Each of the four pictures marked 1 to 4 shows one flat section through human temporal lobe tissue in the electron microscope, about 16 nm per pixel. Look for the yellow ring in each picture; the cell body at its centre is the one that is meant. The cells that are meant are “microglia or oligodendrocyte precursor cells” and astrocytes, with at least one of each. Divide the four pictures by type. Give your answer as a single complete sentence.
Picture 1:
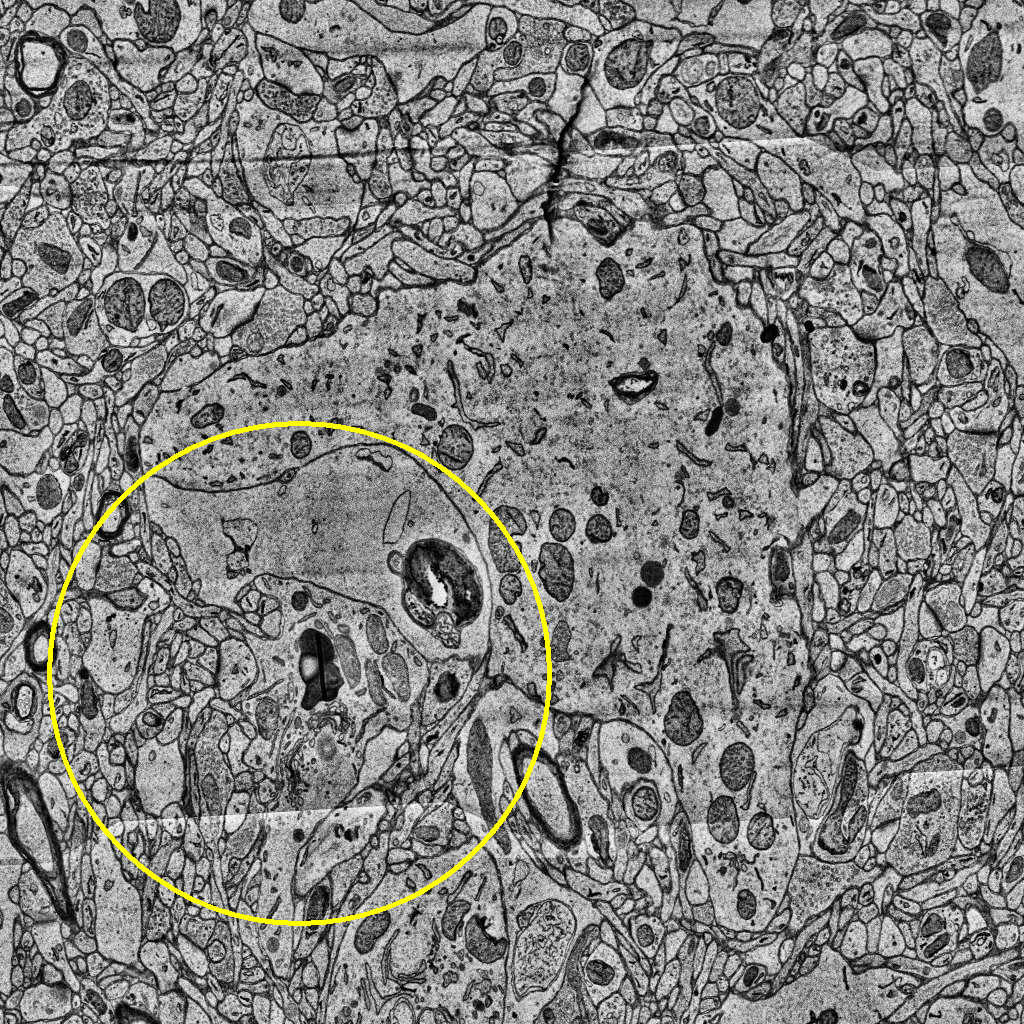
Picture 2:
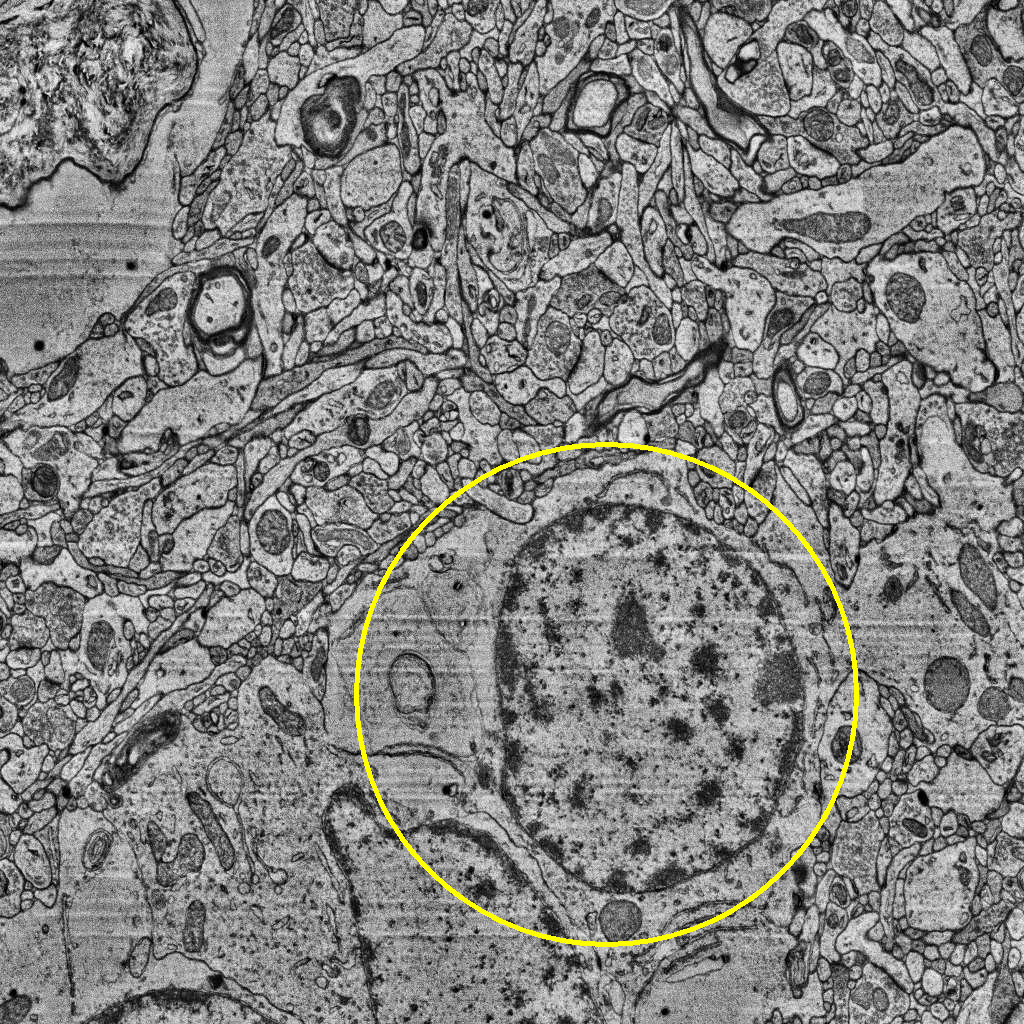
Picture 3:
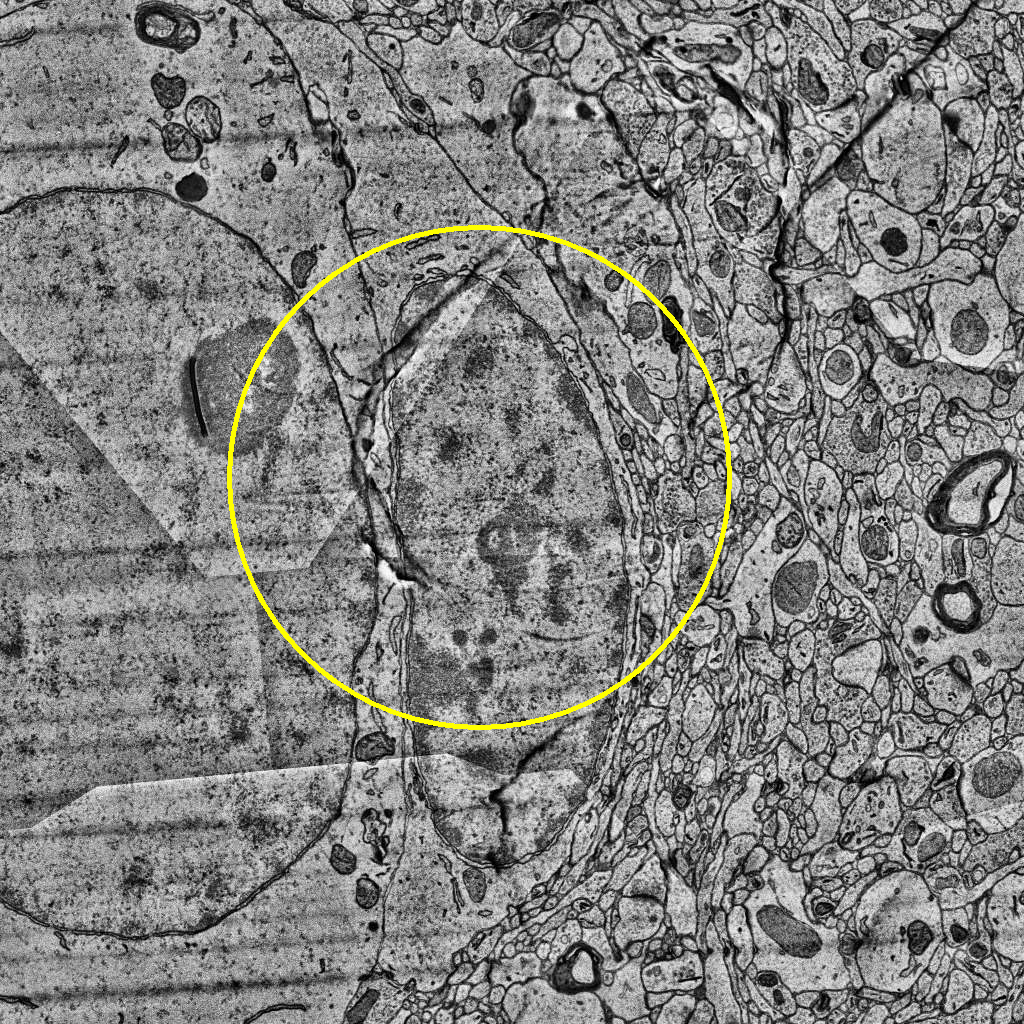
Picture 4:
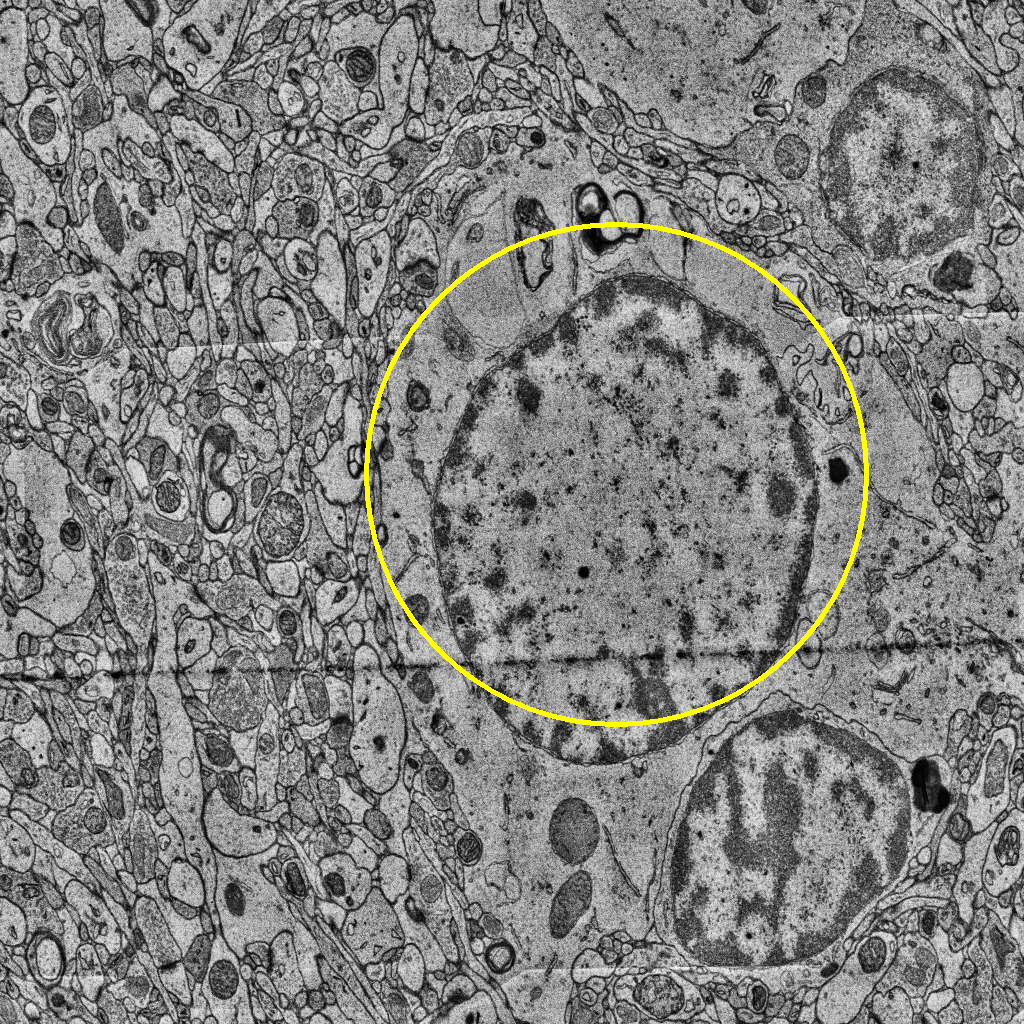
Pictures 1 and 3 show “microglia or oligodendrocyte precursor cells”; pictures 2 and 4 show astrocytes.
